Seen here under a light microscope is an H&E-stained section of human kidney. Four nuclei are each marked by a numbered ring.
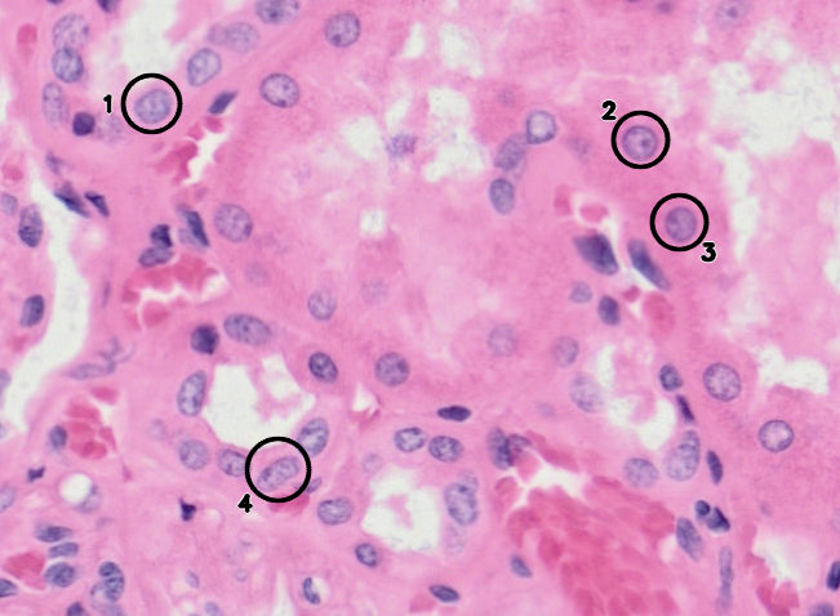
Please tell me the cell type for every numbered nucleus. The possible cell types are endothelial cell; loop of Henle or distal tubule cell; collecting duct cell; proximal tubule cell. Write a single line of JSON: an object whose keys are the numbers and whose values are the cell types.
{"1": "collecting duct cell", "2": "proximal tubule cell", "3": "proximal tubule cell", "4": "collecting duct cell"}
